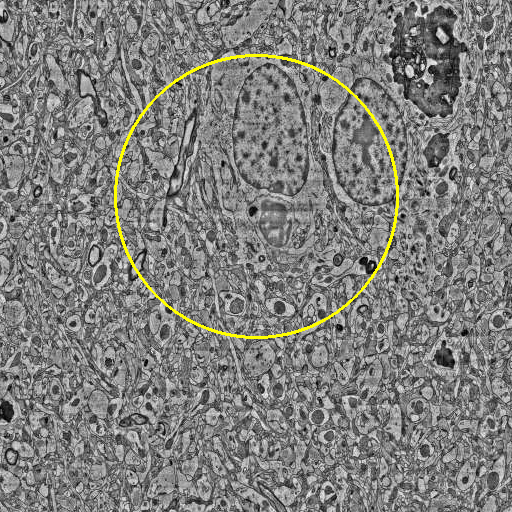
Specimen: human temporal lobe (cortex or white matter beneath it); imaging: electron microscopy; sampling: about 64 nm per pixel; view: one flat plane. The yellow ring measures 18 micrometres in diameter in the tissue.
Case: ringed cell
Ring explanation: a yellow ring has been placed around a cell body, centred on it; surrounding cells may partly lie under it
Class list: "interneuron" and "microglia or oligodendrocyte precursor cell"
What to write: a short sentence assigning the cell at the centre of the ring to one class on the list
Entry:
The cell at the ring's centre is a microglial cell or oligodendrocyte precursor cell.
